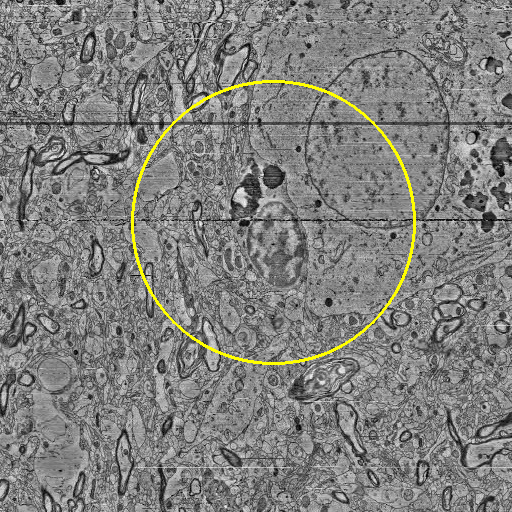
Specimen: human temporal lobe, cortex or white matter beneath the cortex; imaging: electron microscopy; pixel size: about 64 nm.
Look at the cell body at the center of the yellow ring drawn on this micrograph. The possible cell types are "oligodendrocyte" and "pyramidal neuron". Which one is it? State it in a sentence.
The cell in the middle of the ring is an oligodendrocyte.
